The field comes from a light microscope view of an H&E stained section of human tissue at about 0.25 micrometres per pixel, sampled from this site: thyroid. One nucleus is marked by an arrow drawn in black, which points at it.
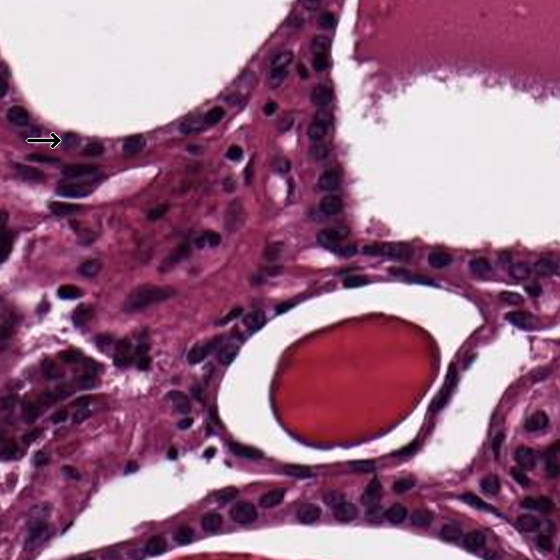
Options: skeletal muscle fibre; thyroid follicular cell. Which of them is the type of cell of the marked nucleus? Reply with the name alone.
thyroid follicular cell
